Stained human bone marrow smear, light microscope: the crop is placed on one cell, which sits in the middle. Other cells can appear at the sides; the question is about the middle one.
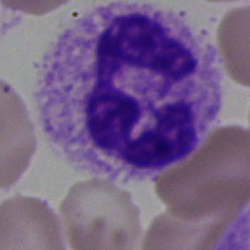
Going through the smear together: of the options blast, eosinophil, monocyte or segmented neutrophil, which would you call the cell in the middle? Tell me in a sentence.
The cell that lies at the centre of the crop is a segmented neutrophil.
